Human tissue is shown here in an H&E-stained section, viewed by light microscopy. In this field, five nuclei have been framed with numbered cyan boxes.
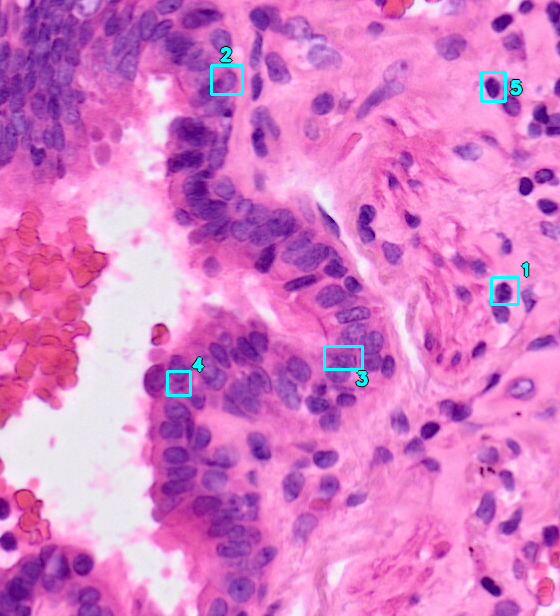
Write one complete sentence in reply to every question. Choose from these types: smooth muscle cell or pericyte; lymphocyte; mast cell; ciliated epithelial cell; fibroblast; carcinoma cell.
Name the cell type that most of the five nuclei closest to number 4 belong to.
Of the five nuclei nearest to number 4, most belong to ciliated epithelial cells.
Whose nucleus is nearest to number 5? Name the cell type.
The cell nearest to number 5 is a mast cell.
